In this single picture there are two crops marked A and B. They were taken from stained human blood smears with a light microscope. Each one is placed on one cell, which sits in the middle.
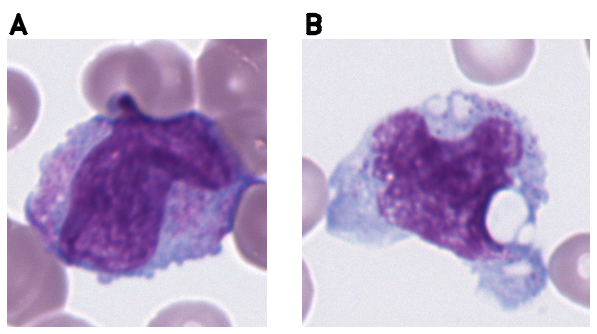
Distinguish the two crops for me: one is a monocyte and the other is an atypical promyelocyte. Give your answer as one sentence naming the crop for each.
Taken crop by crop, crop A is an atypical promyelocyte and crop B is a monocyte.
